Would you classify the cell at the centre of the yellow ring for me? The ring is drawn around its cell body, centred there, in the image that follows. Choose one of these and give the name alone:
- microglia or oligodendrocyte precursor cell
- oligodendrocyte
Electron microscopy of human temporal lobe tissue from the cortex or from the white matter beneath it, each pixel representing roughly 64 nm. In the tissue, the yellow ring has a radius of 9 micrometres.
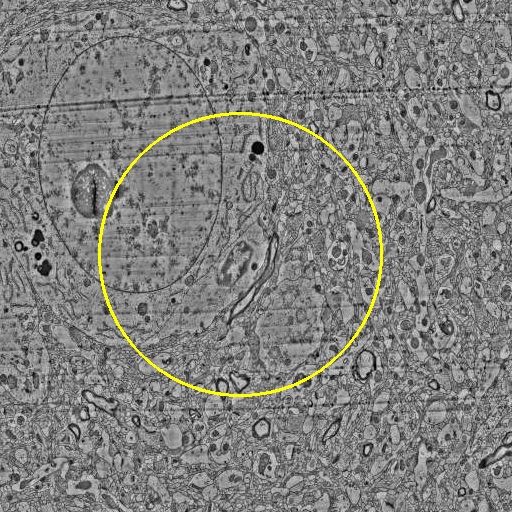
microglia or oligodendrocyte precursor cell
